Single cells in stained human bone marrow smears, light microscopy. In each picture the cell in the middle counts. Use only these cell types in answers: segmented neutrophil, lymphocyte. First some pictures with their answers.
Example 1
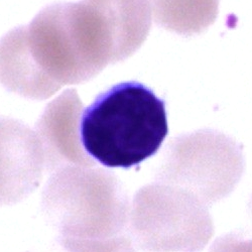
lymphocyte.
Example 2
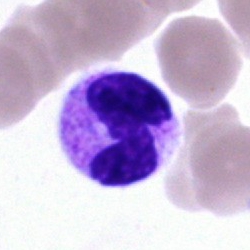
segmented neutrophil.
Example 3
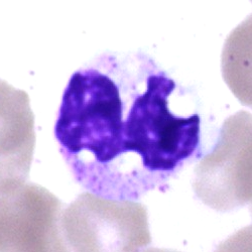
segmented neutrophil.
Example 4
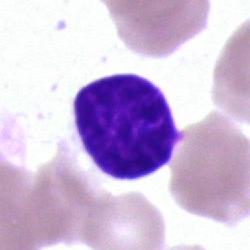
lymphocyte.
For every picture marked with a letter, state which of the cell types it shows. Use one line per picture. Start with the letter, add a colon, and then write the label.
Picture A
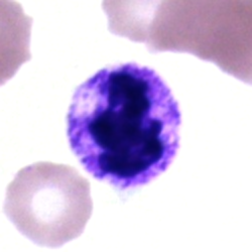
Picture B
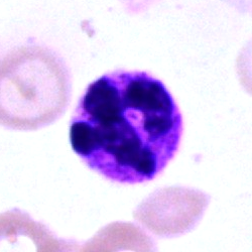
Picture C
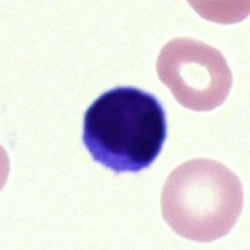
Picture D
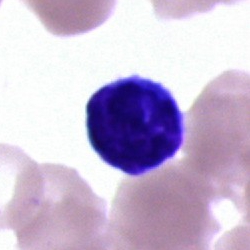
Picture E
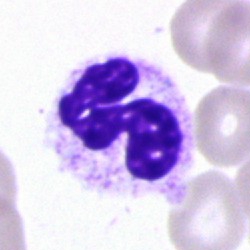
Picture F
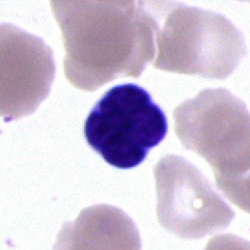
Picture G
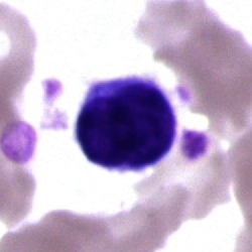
A: segmented neutrophil.
B: segmented neutrophil.
C: lymphocyte.
D: lymphocyte.
E: segmented neutrophil.
F: lymphocyte.
G: lymphocyte.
